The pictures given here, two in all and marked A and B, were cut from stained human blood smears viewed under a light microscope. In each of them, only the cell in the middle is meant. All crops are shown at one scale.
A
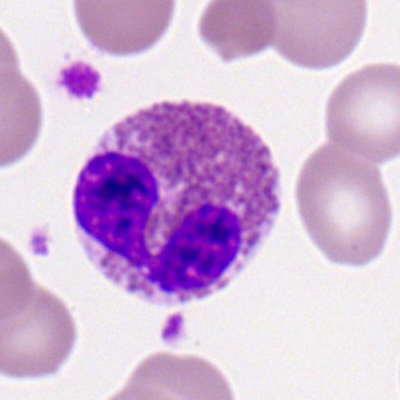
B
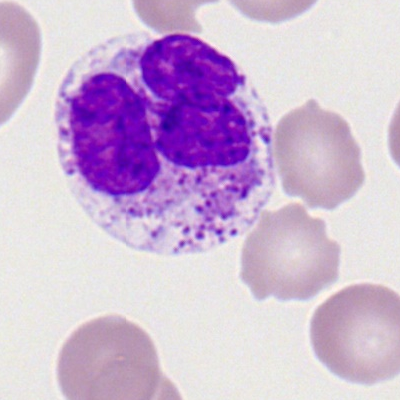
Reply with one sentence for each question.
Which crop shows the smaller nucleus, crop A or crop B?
The nucleus in crop A is smaller; the one in crop B has about 1.5 times its area.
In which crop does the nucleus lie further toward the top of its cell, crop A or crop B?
Seen within its cell, the nucleus in crop B lies further toward the top.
